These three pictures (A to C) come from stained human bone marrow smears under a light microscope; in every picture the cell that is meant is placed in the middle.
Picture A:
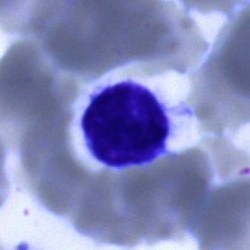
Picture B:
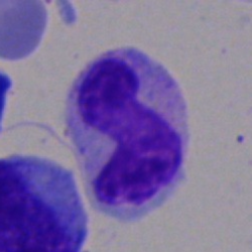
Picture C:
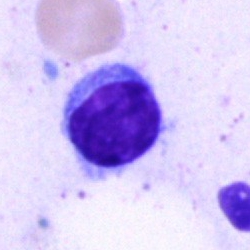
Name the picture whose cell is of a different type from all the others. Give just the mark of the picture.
B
